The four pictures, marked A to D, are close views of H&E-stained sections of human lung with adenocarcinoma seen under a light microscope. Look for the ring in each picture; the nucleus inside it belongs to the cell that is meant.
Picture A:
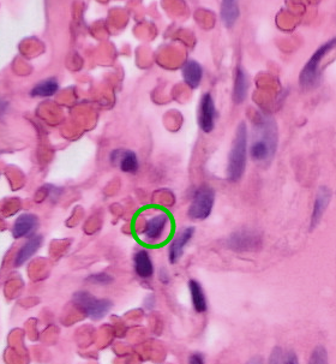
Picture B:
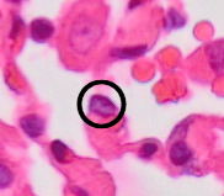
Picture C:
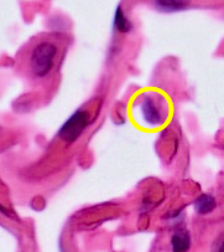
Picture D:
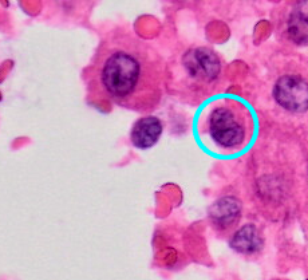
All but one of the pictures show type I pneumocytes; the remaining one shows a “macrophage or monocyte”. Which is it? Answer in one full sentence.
It is picture D that shows the “macrophage or monocyte”.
